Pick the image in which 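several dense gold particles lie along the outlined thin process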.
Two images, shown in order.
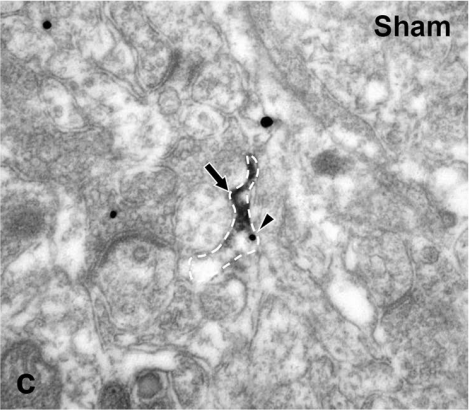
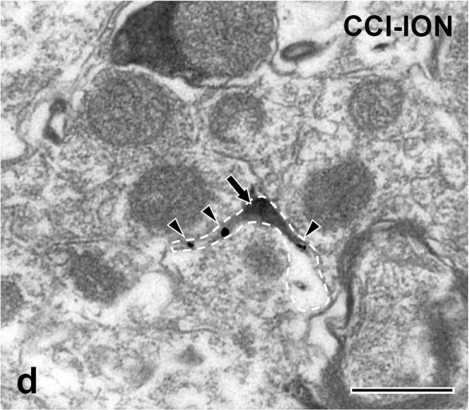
the second image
